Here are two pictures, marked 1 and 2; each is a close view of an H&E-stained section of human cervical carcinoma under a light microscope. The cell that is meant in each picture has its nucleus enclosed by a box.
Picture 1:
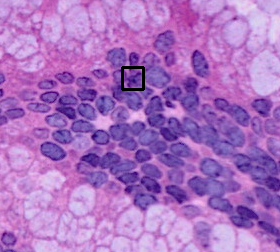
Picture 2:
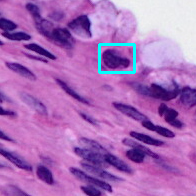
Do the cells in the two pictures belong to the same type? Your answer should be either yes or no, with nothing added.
yes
